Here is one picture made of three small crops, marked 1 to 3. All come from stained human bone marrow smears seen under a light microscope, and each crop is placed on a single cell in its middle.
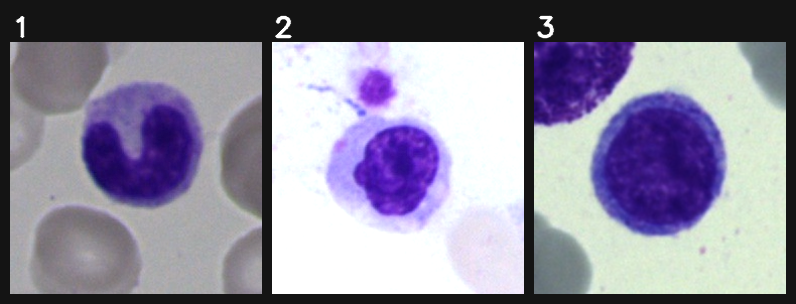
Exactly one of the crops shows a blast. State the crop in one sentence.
The crop that shows a blast is crop 3.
